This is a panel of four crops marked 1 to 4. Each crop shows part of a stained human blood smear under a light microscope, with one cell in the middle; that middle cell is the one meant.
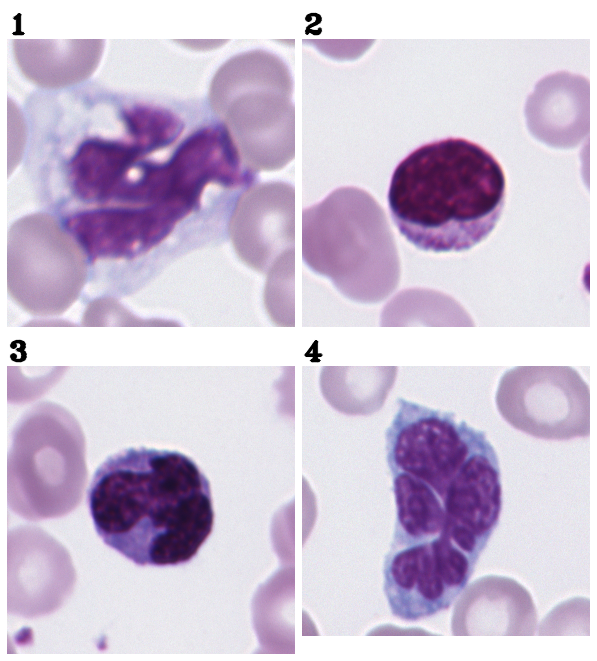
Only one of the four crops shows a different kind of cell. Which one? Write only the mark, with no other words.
2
